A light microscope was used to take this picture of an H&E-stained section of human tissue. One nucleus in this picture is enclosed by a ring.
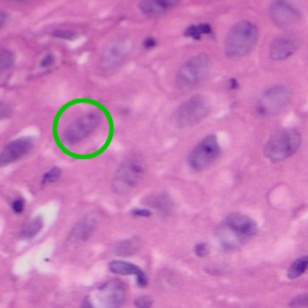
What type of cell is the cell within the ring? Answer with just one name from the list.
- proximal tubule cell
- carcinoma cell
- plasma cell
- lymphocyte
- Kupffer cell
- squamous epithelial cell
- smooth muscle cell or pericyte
squamous epithelial cell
